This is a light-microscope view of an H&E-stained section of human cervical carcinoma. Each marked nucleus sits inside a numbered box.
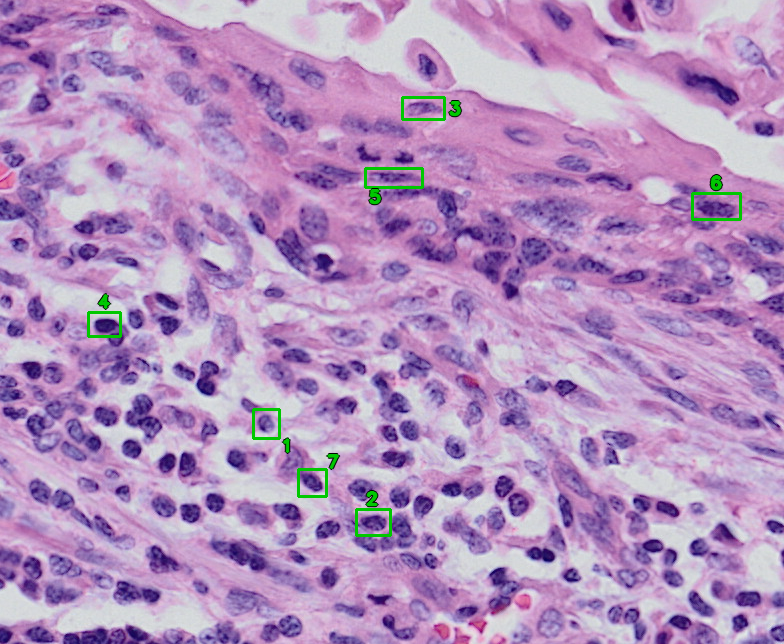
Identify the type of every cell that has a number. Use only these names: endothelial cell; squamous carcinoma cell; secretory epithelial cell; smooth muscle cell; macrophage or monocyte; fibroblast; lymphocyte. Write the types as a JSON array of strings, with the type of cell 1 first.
["lymphocyte", "lymphocyte", "squamous carcinoma cell", "lymphocyte", "squamous carcinoma cell", "squamous carcinoma cell", "lymphocyte"]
